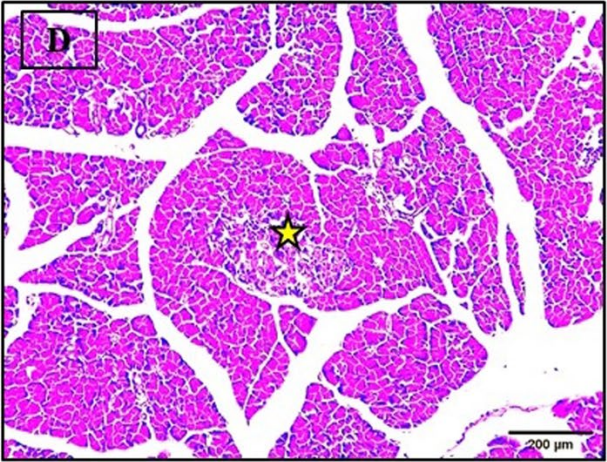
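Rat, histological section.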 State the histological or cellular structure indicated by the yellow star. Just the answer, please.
islets of Langerhans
